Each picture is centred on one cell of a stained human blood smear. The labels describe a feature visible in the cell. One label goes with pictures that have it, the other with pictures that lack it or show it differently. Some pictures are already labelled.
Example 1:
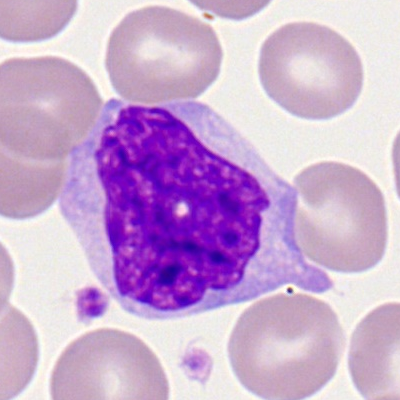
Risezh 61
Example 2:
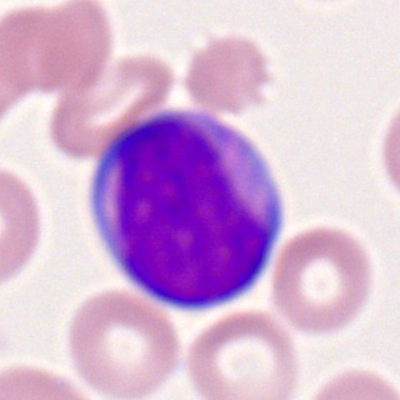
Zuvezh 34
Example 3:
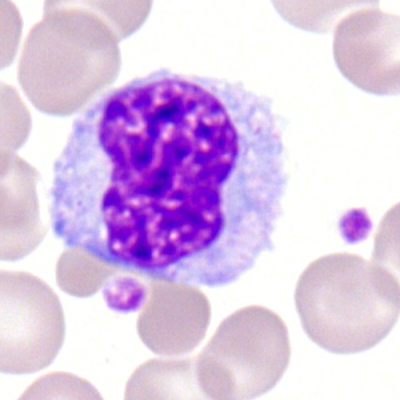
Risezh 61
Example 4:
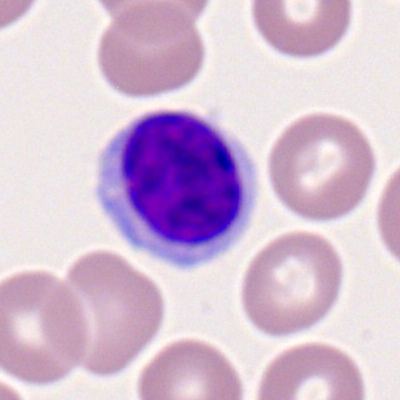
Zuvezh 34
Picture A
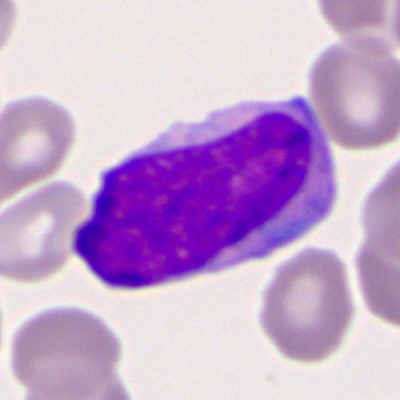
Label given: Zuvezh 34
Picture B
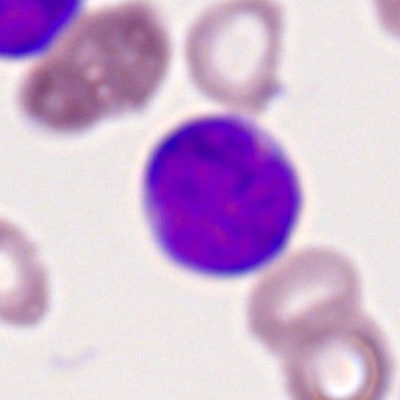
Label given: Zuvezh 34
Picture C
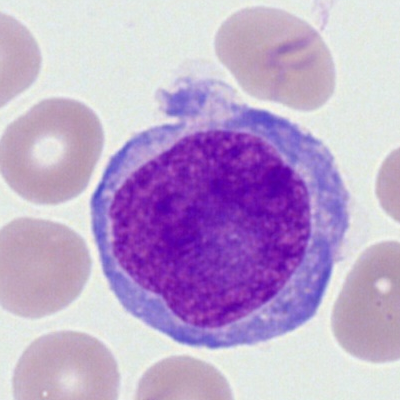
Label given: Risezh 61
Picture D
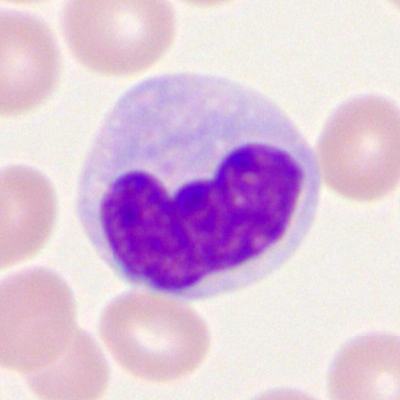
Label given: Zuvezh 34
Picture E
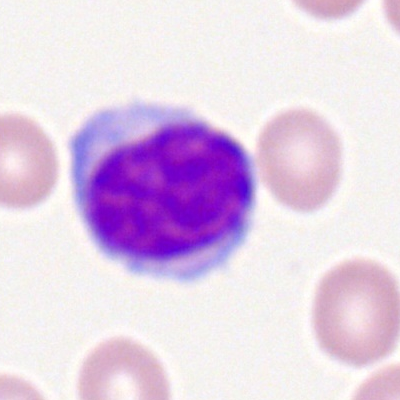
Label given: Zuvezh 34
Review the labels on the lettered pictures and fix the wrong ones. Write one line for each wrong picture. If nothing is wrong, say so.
A should be Risezh 61, not Zuvezh 34
E should be Risezh 61, not Zuvezh 34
